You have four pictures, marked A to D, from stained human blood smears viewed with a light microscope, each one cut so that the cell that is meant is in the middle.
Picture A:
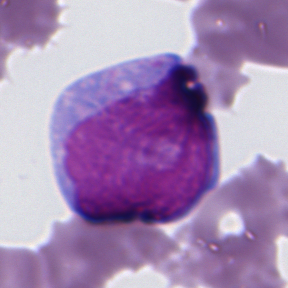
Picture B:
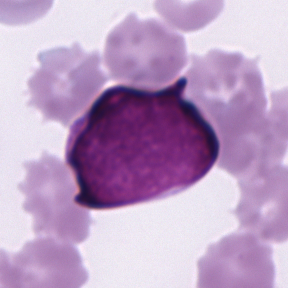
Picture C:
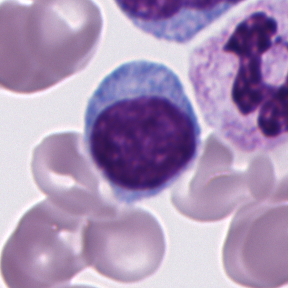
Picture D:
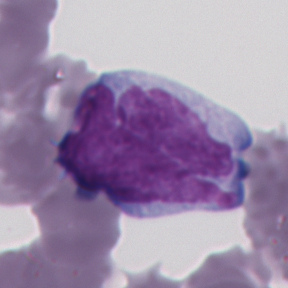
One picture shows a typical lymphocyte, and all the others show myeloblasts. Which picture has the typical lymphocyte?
C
